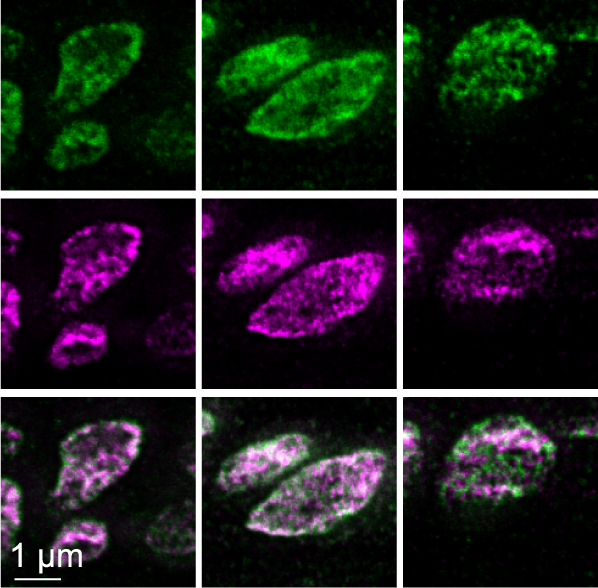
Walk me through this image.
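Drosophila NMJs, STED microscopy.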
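These are synaptic boutons of a fly neuromuscular junction, small oval swellings, some lying side by side along the terminal. The magenta label fills the interior of each bouton as a granular pattern, brightest toward the rim in some. The green label is also spread through the boutons, granular or punctate, and in the merged images overlaps the magenta widely as whitish areas in two columns, less so in the third where separate green and magenta dots are seen.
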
